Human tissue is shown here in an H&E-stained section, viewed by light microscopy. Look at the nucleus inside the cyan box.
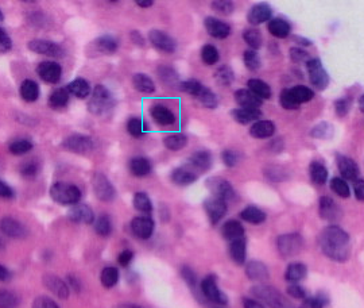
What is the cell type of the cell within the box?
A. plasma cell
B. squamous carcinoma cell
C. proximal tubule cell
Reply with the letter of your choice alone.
A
